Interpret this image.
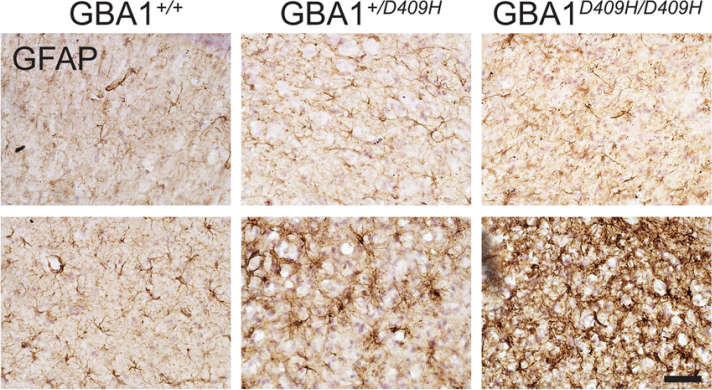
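The astrocytes are star-shaped, with a small central body and many fine processes radiating outward. Their processes interweave into a fibrous brown meshwork through the tissue. In some fields this meshwork is much denser and darker, outlining many pale, rounded unstained spaces between the processes. In other fields the star-shaped cells stand apart from one another with lighter background.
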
